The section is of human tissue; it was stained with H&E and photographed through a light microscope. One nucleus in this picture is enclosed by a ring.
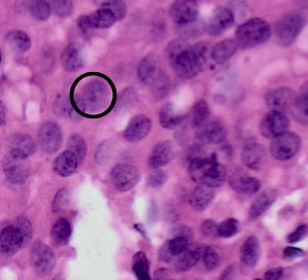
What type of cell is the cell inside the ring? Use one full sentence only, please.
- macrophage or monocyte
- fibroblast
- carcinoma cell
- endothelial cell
For the purposes of cell typing, the cell inside the ring is categorized as a carcinoma cell.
